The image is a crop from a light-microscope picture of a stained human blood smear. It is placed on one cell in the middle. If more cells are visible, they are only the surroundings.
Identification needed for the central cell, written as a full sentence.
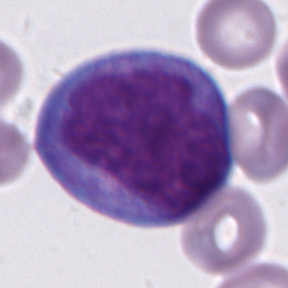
The centered cell in this crop is a promyelocyte.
